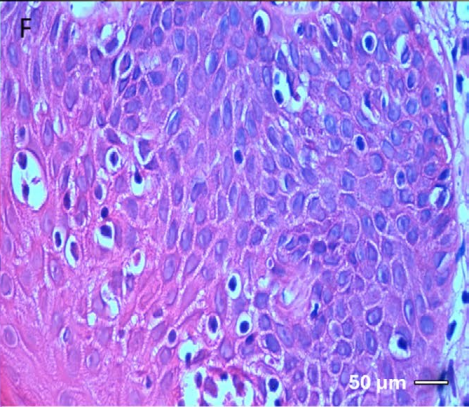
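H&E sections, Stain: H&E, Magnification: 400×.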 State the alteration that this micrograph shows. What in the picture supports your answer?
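Many dark, haloed nuclei are scattered within the epithelium. These cells lie between the larger squamous cells with pink cytoplasm. On this evidence: epidermotropism of atypical lymphocytes.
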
